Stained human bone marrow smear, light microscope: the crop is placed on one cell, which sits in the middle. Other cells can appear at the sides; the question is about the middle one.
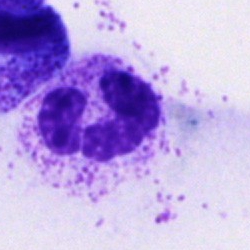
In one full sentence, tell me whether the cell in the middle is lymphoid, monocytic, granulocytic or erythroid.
The cell at the center of this crop is of granulocytic lineage.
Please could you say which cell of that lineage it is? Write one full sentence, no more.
Of the cells in this crop, the central one is a segmented neutrophil.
